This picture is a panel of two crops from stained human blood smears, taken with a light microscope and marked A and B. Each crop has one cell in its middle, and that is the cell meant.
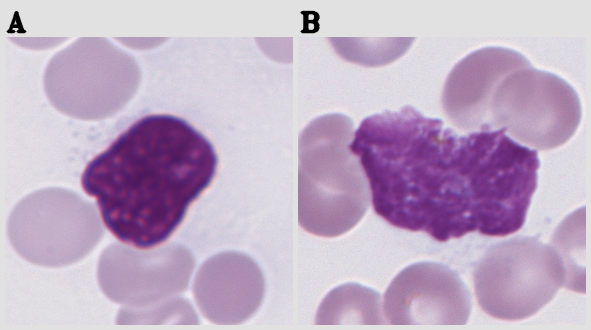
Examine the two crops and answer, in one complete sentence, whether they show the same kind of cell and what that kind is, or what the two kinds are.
Yes, both crops contain smudge cells at their centres.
